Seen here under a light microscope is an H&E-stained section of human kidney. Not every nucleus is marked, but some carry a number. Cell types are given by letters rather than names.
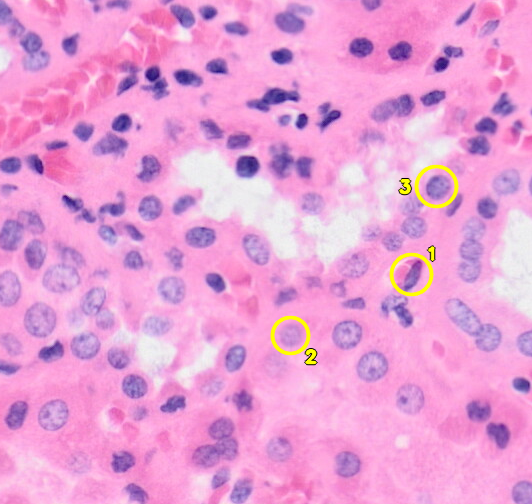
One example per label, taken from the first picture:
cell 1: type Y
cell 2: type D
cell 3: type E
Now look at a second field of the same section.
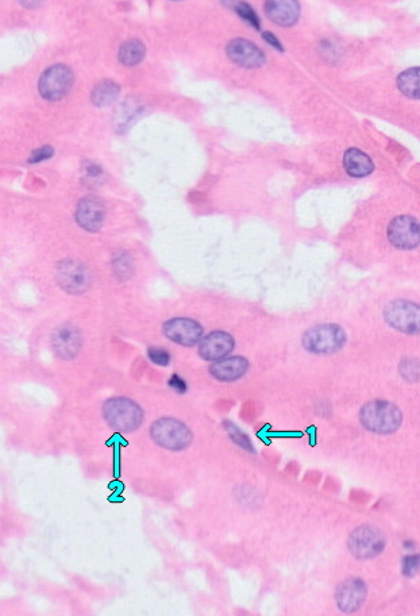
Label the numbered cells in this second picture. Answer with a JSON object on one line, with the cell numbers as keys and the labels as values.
{"1": "type Y", "2": "type D"}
